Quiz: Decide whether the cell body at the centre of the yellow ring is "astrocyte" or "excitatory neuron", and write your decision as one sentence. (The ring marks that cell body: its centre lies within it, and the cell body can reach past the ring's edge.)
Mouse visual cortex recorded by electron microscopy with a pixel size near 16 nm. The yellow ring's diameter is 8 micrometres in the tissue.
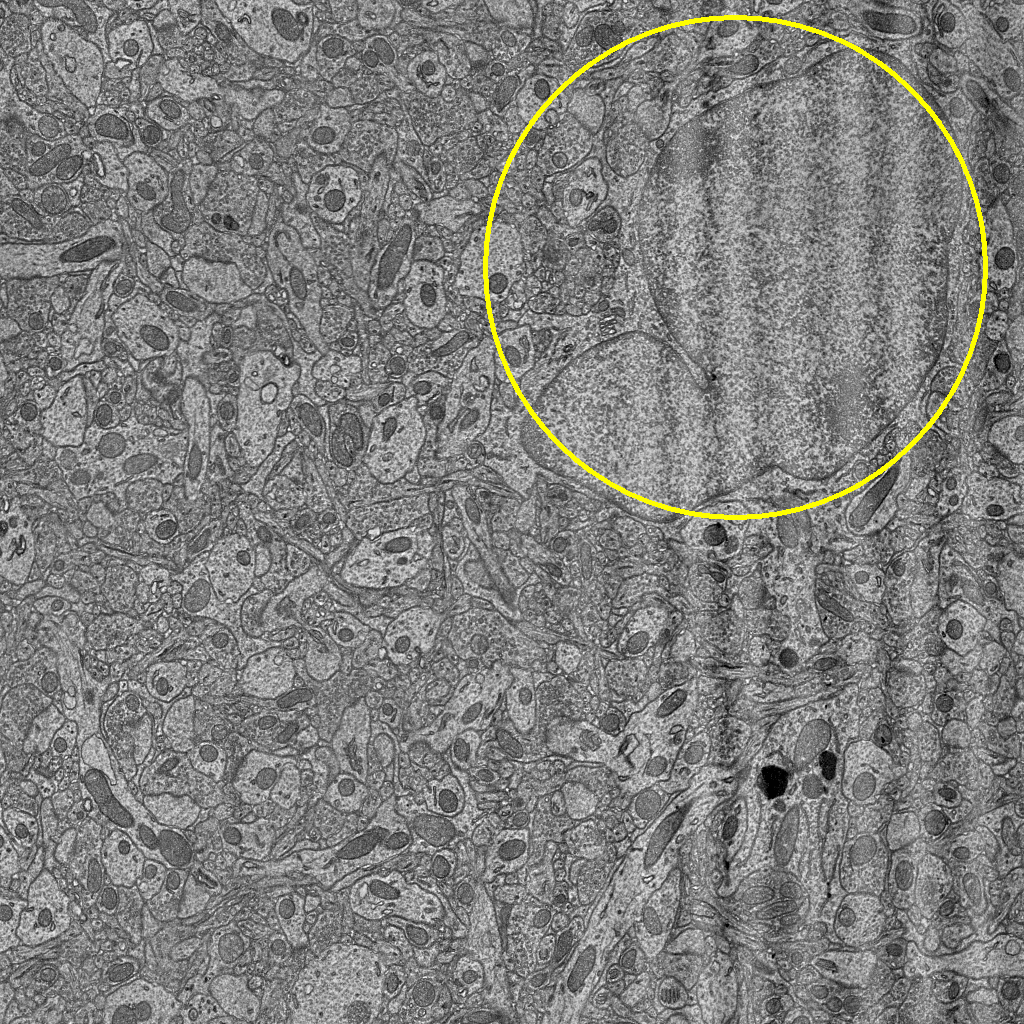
The cell holding the ring's centre is an astrocyte.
